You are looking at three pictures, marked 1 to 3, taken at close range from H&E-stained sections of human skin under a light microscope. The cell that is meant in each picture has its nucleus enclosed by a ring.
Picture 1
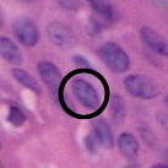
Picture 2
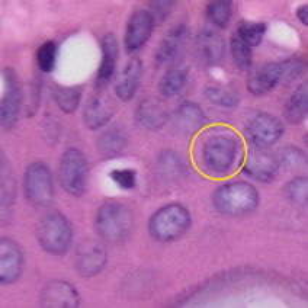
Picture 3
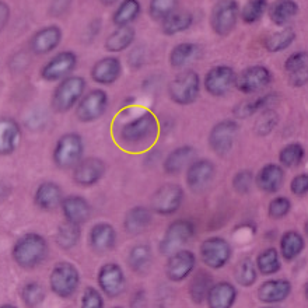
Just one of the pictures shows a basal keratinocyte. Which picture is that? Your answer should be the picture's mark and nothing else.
1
